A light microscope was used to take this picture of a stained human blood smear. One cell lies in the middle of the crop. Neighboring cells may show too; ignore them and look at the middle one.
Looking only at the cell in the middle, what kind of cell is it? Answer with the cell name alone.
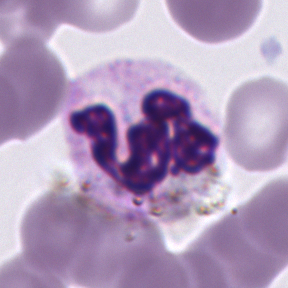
segmented neutrophil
